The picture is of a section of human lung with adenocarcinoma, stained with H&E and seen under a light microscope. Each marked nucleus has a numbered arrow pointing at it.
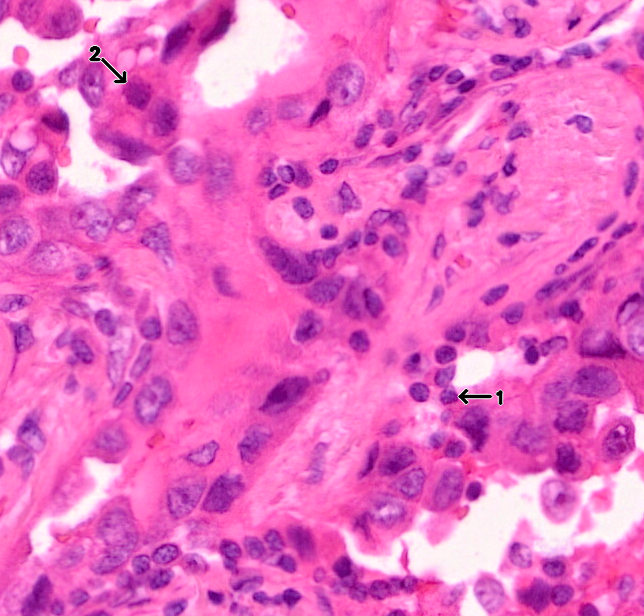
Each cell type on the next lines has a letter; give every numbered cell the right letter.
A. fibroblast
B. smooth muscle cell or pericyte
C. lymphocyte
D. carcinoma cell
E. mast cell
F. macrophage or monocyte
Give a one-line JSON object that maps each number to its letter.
{"1": "C", "2": "D"}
